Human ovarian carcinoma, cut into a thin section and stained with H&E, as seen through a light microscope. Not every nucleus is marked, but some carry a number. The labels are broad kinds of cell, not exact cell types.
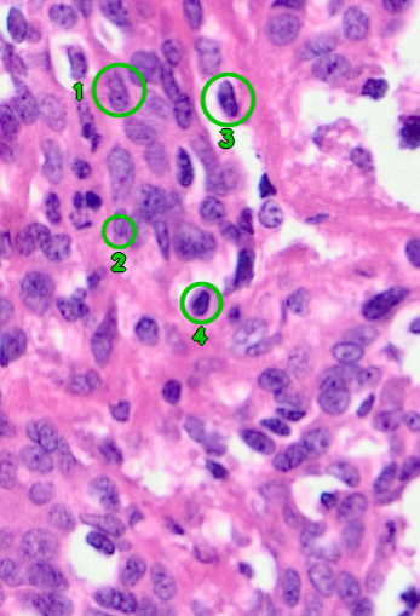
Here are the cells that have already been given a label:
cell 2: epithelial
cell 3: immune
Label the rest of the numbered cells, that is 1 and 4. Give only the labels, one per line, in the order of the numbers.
epithelial
immune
